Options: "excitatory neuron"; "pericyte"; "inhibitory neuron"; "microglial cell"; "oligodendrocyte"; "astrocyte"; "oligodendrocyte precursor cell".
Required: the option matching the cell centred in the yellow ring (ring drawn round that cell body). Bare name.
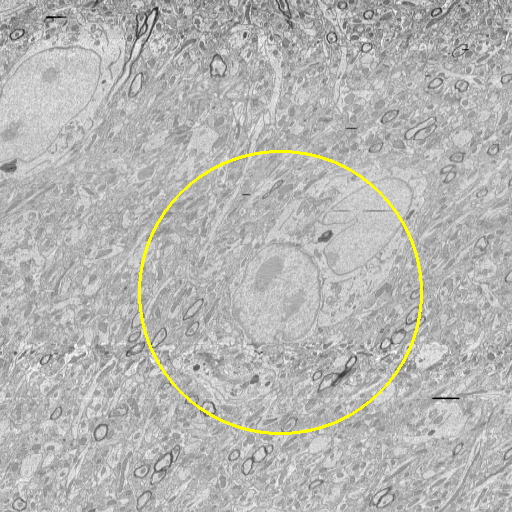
oligodendrocyte precursor cell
